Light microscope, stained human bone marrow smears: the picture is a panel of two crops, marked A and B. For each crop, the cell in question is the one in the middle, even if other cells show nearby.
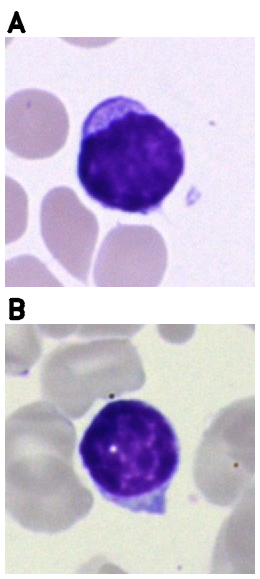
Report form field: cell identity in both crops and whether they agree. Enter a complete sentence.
Yes, the central cells of both crops are lymphocytes.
